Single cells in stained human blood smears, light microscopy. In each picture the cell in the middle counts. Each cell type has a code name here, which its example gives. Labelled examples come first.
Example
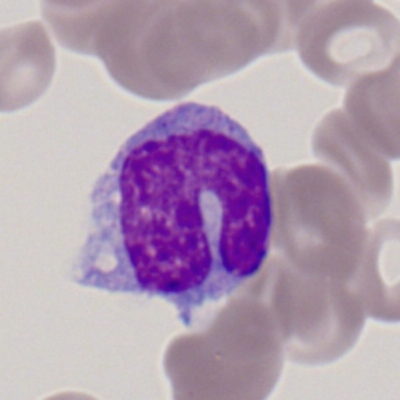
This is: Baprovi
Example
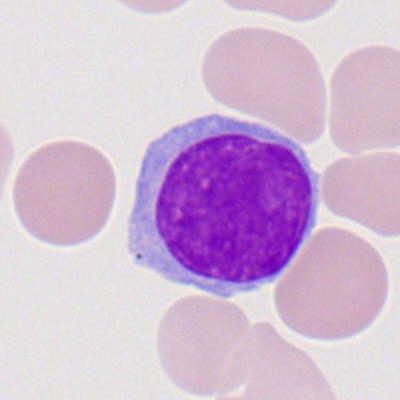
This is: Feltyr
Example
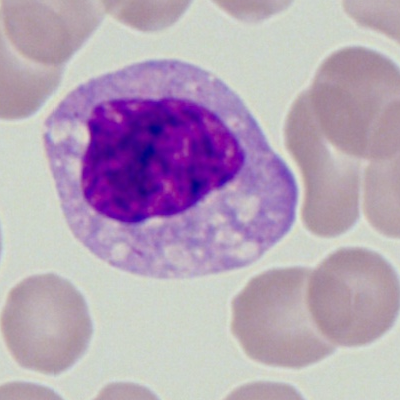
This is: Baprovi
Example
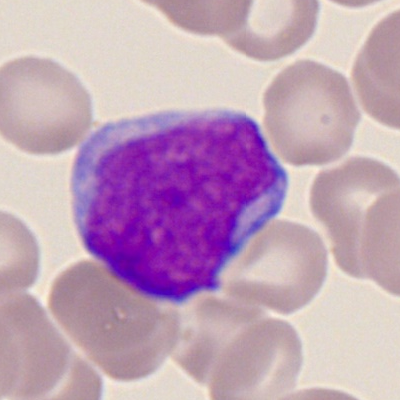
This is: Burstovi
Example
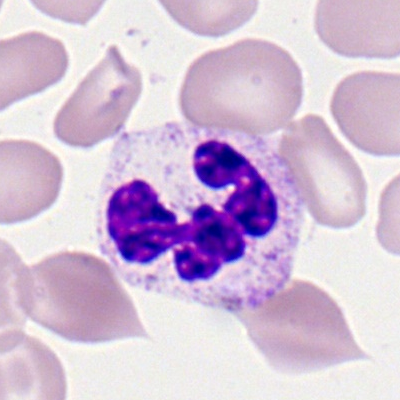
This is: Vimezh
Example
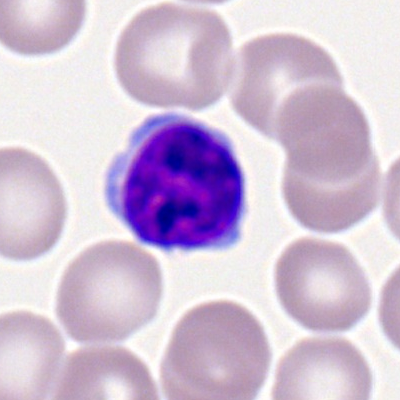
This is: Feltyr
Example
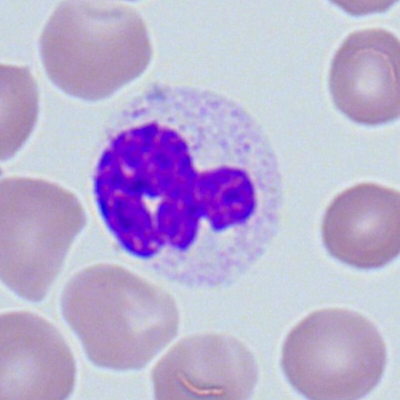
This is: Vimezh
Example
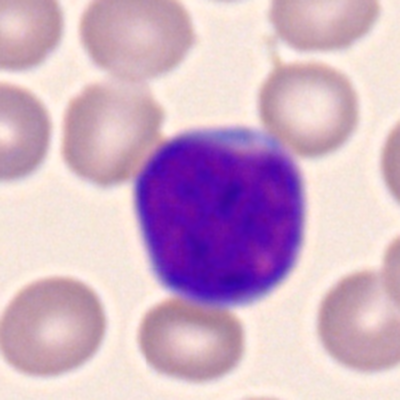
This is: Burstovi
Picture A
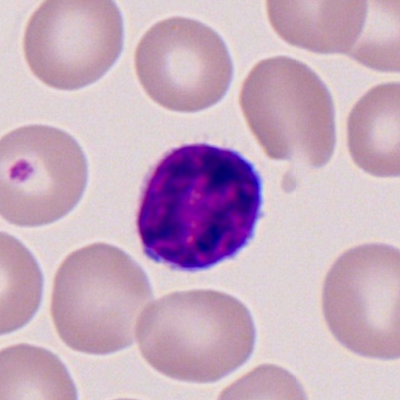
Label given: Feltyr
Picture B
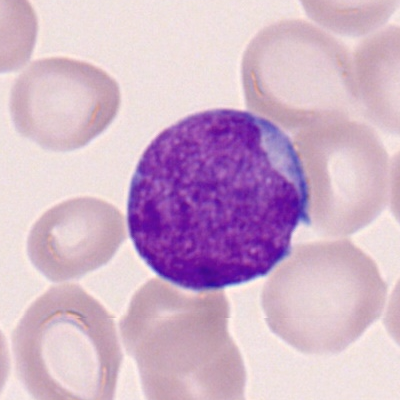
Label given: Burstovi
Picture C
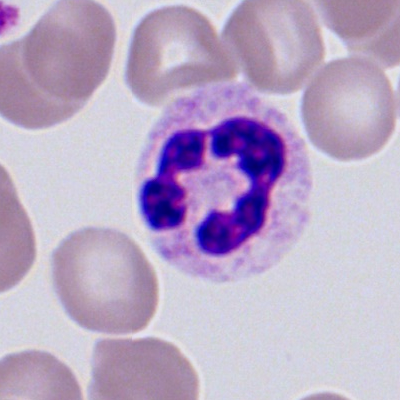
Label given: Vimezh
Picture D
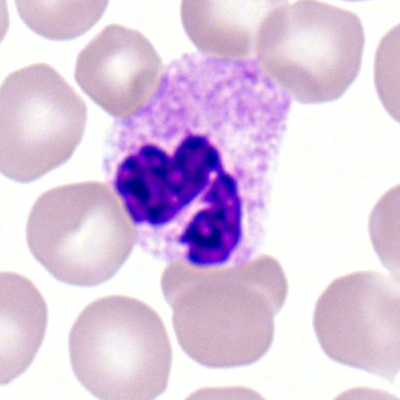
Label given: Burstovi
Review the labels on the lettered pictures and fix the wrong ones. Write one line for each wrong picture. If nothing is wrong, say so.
D: not Burstovi but Vimezh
